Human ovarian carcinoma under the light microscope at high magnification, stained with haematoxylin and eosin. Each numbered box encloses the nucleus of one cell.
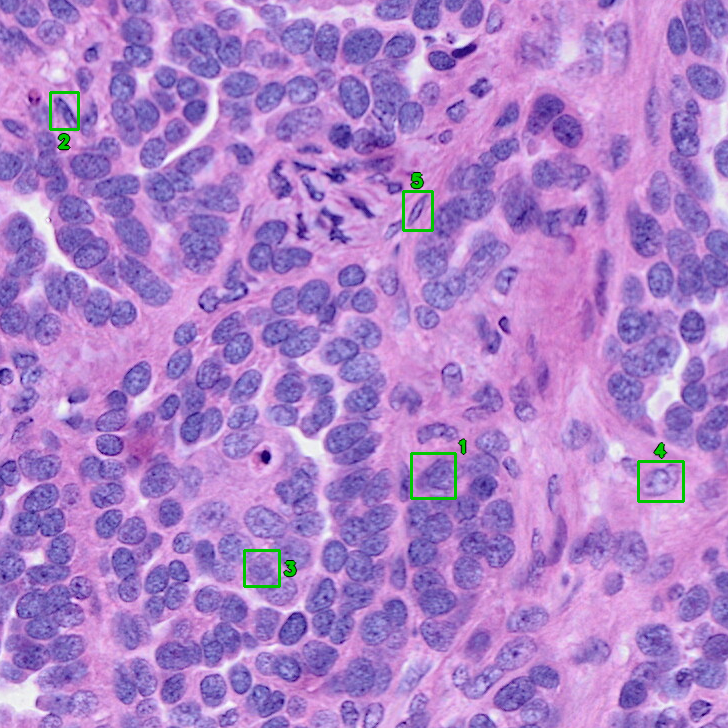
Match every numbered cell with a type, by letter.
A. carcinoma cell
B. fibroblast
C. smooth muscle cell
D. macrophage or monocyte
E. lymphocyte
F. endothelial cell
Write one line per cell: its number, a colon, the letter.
1: A
2: B
3: A
4: B
5: B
